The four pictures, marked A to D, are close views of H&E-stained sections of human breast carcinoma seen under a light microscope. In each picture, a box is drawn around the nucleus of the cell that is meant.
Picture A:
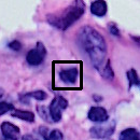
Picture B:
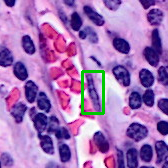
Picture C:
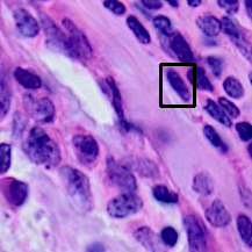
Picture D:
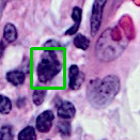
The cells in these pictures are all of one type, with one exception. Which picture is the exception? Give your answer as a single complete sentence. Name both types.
Unlike the rest, which show lymphocytes, picture B shows an endothelial cell.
